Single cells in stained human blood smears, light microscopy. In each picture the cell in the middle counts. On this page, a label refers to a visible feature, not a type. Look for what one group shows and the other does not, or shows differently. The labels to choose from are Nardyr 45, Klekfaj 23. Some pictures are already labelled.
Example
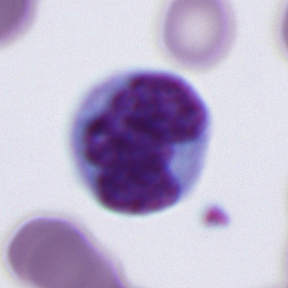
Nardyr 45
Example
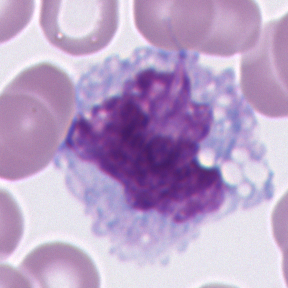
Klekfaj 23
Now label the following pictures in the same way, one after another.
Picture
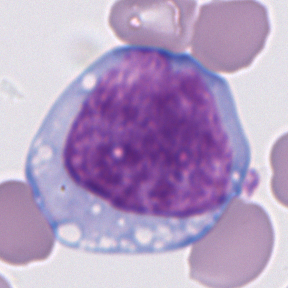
Klekfaj 23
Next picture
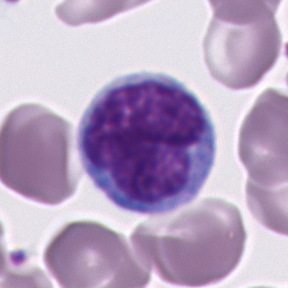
Nardyr 45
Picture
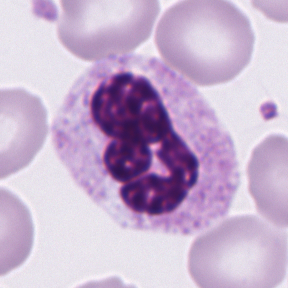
Nardyr 45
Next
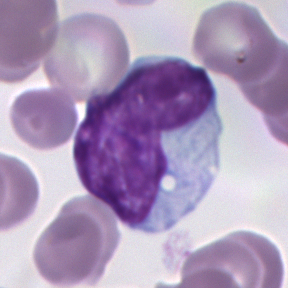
Klekfaj 23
